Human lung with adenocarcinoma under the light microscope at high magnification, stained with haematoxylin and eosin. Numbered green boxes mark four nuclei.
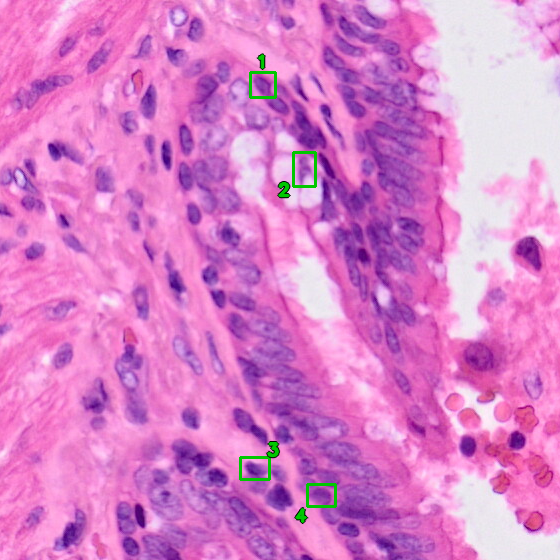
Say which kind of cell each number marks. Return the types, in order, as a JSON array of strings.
["ciliated epithelial cell", "ciliated epithelial cell", "lymphocyte", "ciliated epithelial cell"]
